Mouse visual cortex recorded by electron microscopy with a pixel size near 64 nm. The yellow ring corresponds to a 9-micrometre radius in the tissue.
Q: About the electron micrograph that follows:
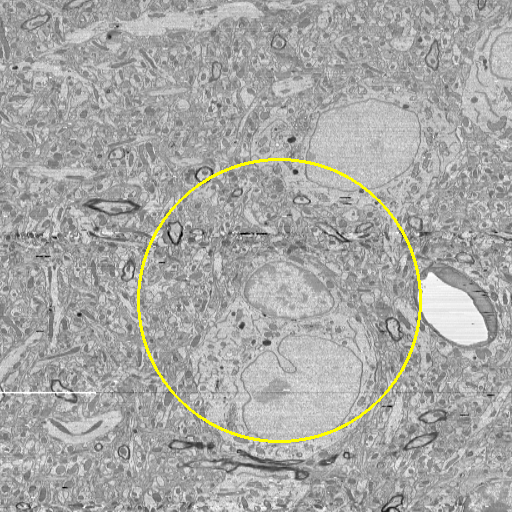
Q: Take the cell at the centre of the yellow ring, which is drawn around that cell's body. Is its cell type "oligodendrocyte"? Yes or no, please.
Yes, its type is that one.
